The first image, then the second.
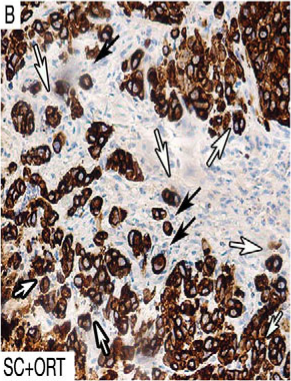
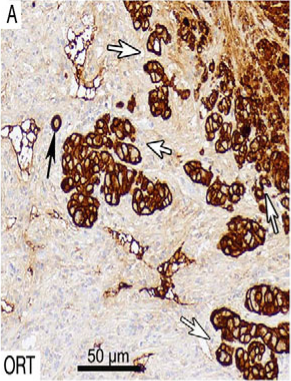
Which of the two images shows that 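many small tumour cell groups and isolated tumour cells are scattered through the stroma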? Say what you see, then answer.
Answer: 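First image: numerous small brown groups and single brown cells are dispersed throughout the stroma. Second image: brown tumour cells lie mostly in larger compact nests with few isolated cells. That points to this answer: the first image.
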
